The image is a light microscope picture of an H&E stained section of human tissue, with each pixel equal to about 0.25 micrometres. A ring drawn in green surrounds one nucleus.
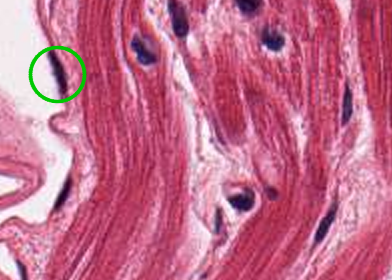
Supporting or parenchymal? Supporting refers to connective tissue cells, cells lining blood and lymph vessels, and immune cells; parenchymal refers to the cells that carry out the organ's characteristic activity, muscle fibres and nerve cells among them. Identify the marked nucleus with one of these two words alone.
supporting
